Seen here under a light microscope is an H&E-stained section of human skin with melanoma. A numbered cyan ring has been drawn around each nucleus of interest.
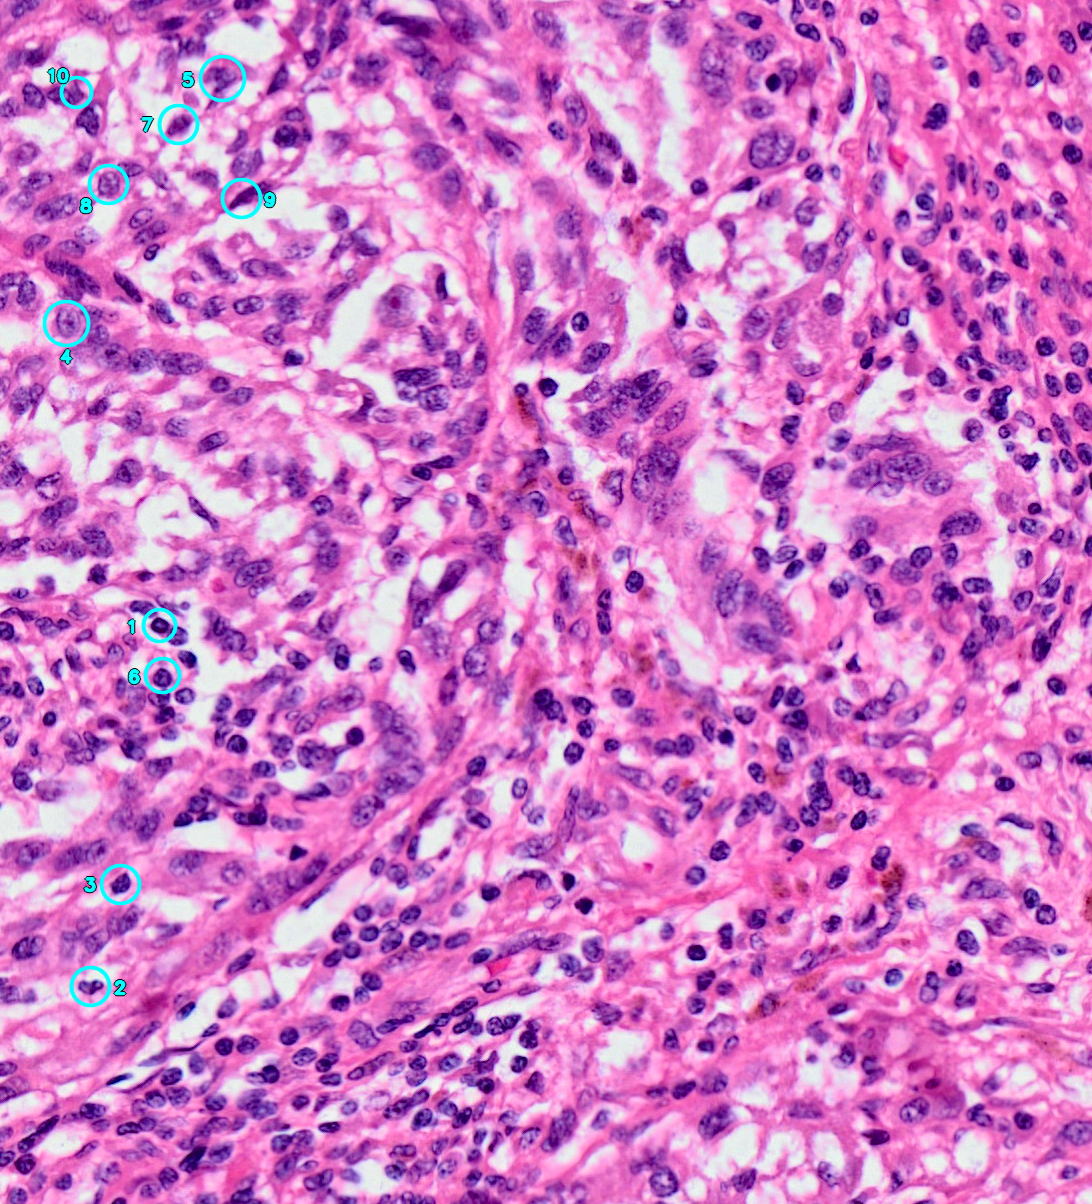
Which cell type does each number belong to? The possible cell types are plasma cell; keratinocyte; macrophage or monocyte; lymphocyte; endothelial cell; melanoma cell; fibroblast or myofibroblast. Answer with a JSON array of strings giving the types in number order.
["lymphocyte", "lymphocyte", "lymphocyte", "melanoma cell", "melanoma cell", "lymphocyte", "melanoma cell", "melanoma cell", "melanoma cell", "melanoma cell"]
